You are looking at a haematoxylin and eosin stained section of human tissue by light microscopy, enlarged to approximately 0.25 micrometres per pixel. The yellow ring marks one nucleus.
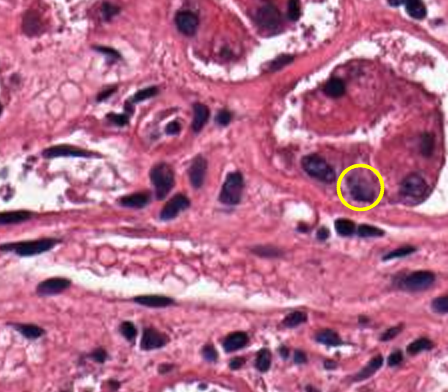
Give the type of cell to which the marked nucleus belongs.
proximal tubule cell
